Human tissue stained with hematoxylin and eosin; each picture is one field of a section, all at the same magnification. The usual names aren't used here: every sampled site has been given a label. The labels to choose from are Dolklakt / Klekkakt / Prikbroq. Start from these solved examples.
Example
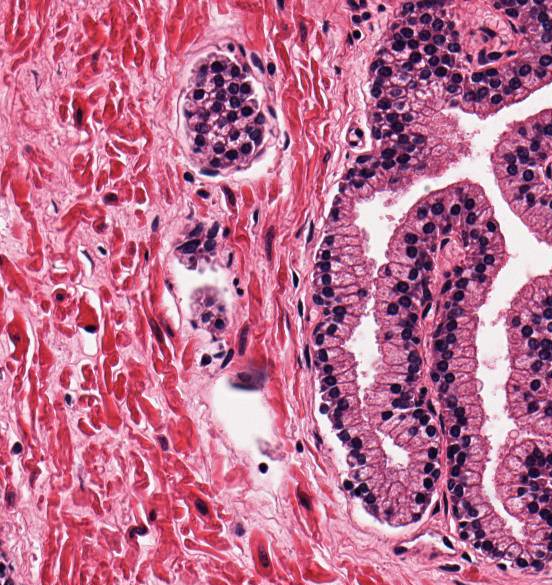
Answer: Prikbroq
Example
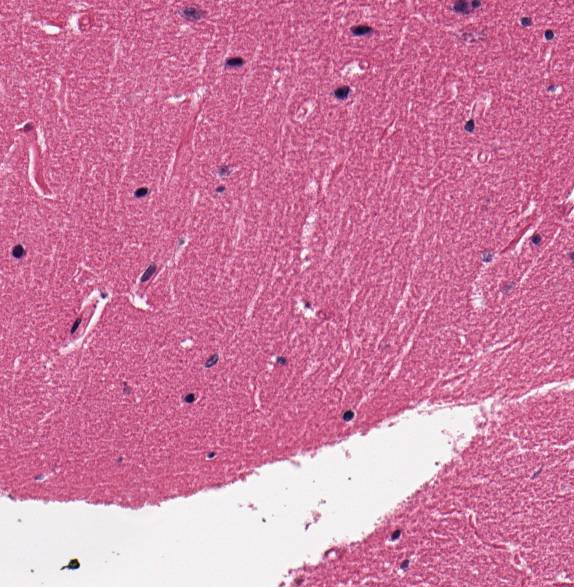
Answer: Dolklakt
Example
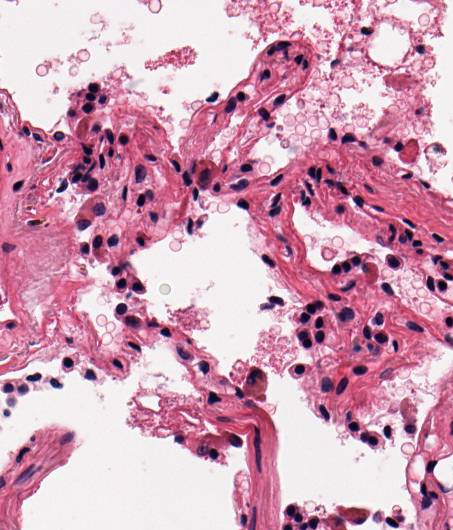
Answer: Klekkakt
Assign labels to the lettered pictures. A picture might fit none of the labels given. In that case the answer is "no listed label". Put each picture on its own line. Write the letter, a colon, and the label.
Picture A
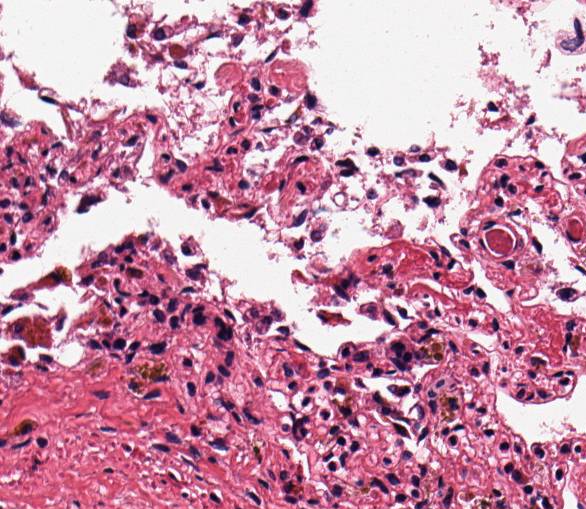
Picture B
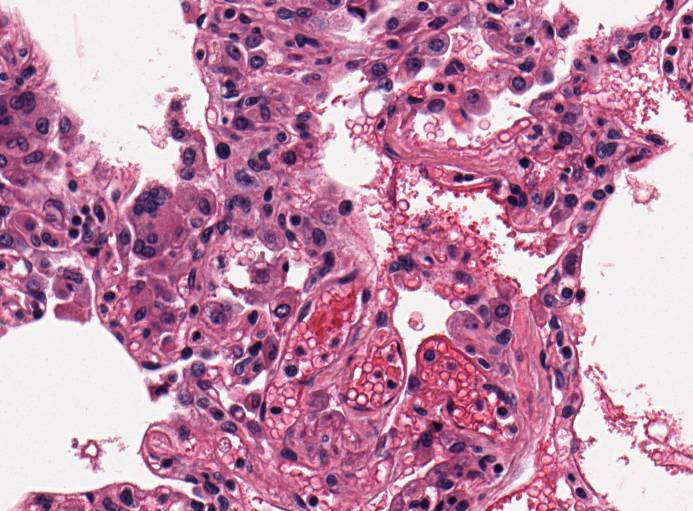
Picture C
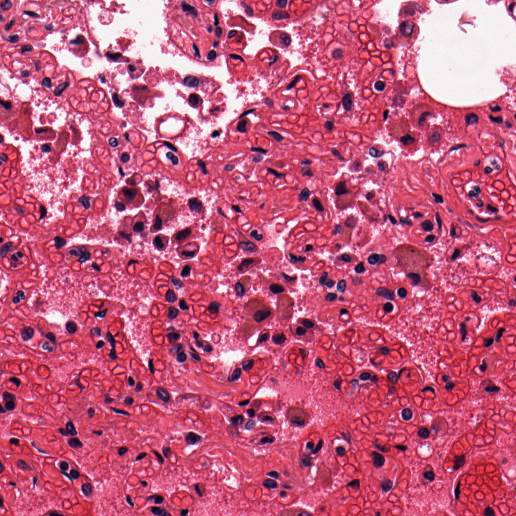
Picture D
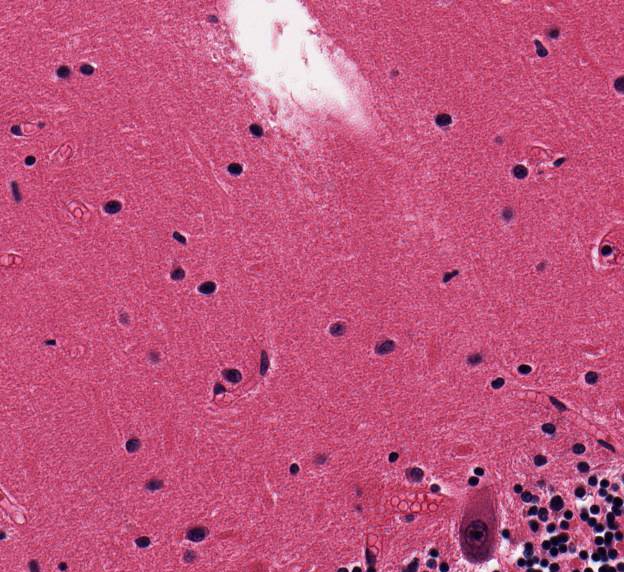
A: Klekkakt
B: Klekkakt
C: Klekkakt
D: Dolklakt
